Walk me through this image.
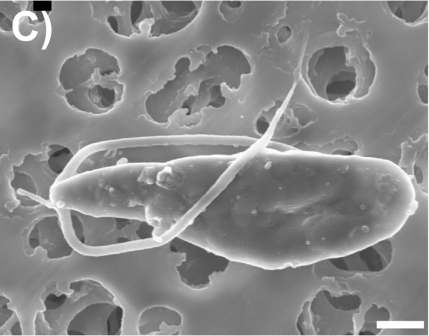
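Here an elongated zoospore lies on a porous filter, its body long and spindle-like with one end narrower than the other. Two flagella arise near the narrow end; one loops back alongside and over the cell body while the other runs off across it. The surface of the cell is smooth with a few small irregularities.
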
